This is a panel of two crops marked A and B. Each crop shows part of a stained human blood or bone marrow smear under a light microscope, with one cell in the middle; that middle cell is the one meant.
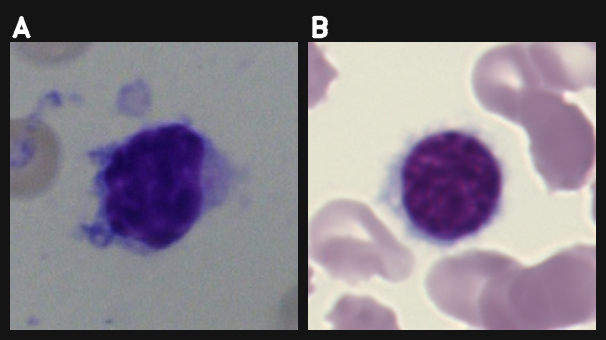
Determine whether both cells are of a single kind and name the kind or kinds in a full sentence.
Yes, at the centre of both crops are hairy cells.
